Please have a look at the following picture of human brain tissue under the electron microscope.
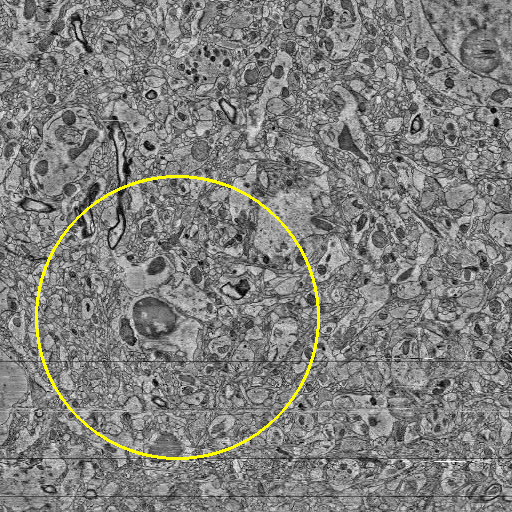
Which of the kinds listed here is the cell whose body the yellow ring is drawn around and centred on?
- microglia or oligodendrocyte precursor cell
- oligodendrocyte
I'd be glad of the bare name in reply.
microglia or oligodendrocyte precursor cell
